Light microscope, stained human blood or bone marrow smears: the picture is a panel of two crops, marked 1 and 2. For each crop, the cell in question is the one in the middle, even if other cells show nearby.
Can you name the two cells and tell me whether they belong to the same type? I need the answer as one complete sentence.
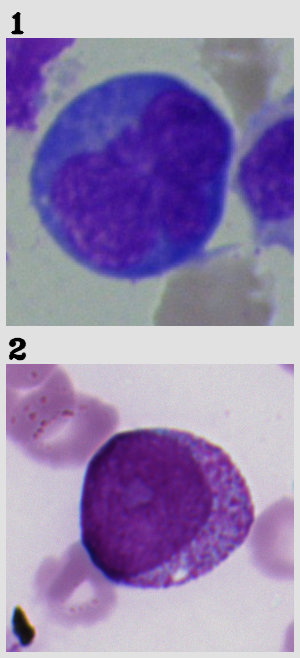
No, crop 1 matches a blast and crop 2 matches a myelocyte.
